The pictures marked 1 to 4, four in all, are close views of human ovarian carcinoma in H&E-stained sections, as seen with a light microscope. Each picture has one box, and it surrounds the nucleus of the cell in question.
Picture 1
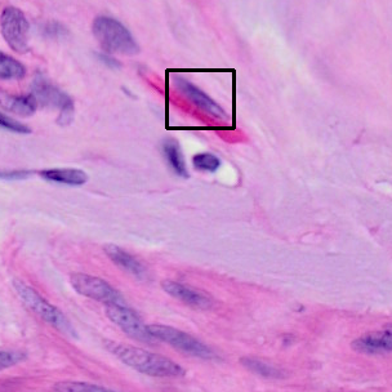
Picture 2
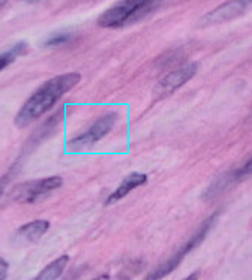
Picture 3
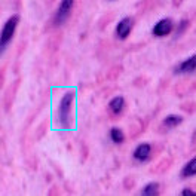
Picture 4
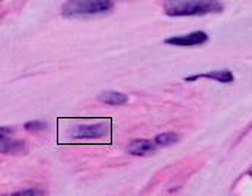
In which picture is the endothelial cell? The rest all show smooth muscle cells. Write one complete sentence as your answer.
It is picture 1 that shows the endothelial cell.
